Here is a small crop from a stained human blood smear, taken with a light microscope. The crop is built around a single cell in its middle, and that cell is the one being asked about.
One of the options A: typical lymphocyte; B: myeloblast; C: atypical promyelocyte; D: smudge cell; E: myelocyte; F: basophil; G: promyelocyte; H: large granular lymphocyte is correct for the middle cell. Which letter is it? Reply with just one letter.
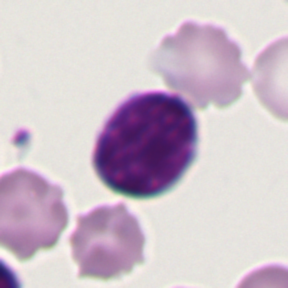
A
